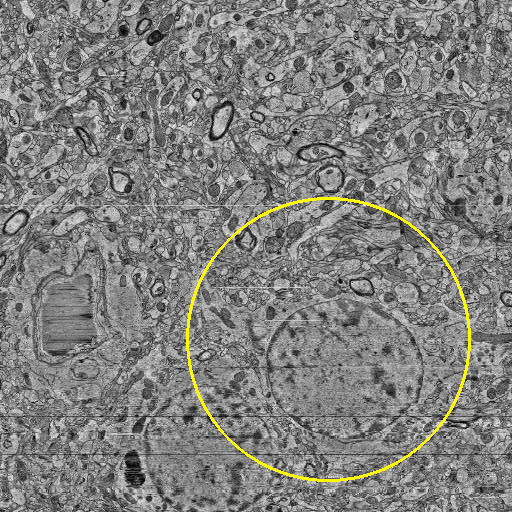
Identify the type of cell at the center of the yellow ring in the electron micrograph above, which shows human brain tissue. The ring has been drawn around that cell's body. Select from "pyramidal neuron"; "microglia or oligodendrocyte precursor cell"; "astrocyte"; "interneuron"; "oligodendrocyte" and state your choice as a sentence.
The yellow ring is centered on the body of an astrocyte.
